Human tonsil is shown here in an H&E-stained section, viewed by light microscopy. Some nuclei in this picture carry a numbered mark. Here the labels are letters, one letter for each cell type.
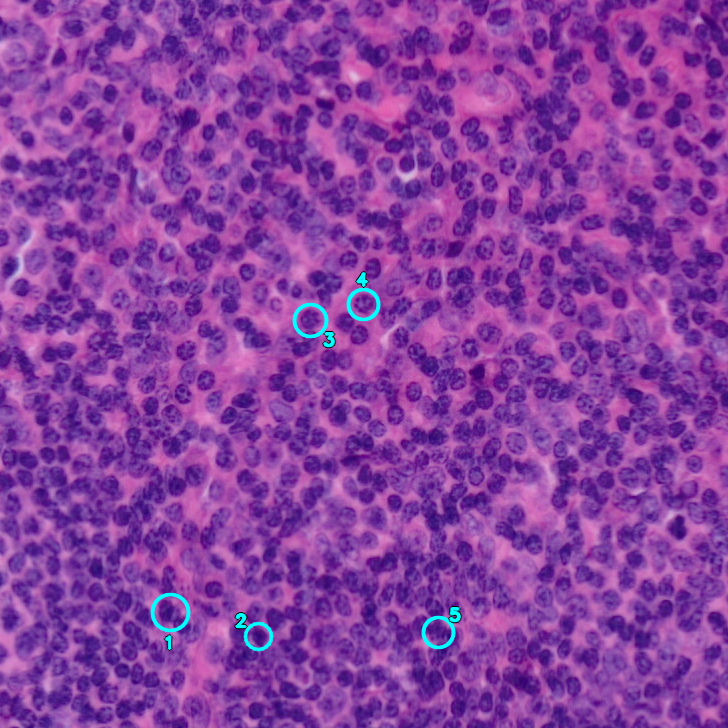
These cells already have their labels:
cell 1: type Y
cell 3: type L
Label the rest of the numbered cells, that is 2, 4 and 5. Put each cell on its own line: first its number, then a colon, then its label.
2: type Y
4: type L
5: type Y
